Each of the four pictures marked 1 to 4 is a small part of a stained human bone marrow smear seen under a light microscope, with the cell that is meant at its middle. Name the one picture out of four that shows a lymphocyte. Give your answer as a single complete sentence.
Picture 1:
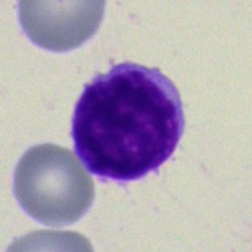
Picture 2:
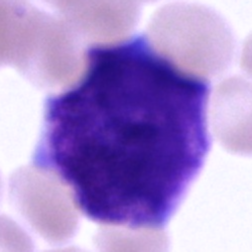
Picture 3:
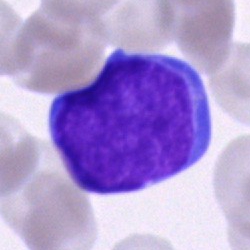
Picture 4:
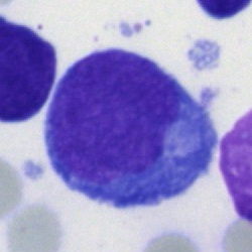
The cell in picture 1 is the lymphocyte.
